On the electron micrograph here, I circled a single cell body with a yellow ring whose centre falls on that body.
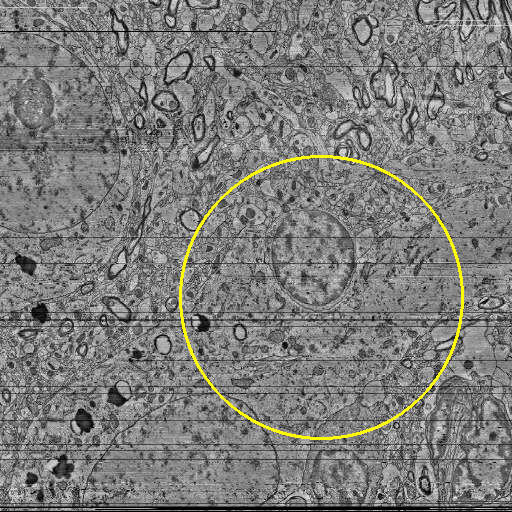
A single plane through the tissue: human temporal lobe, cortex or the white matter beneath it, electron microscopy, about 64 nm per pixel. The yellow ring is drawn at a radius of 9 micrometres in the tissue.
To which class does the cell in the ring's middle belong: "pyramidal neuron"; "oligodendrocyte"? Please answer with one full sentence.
In this picture, the cell body circled at the ring's centre belongs to an oligodendrocyte.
